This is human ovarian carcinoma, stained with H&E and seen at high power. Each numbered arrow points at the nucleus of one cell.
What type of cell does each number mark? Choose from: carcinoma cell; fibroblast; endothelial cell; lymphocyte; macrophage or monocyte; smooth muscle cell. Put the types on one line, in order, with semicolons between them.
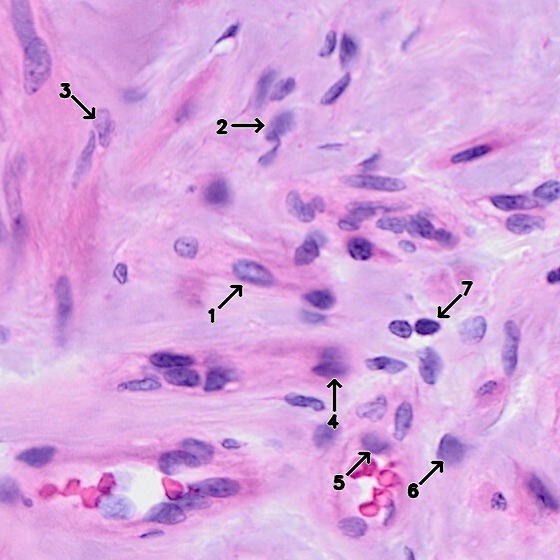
endothelial cell; fibroblast; smooth muscle cell; endothelial cell; endothelial cell; fibroblast; lymphocyte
